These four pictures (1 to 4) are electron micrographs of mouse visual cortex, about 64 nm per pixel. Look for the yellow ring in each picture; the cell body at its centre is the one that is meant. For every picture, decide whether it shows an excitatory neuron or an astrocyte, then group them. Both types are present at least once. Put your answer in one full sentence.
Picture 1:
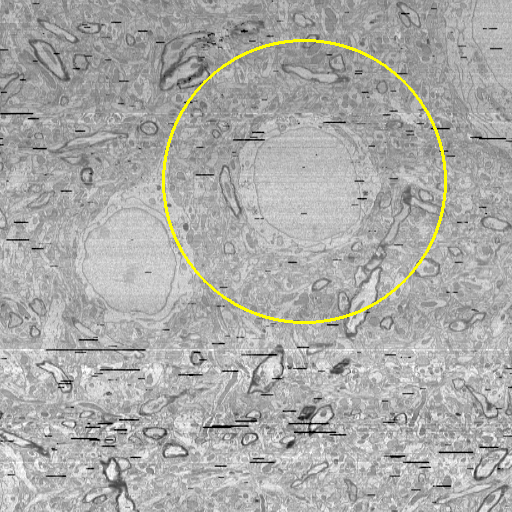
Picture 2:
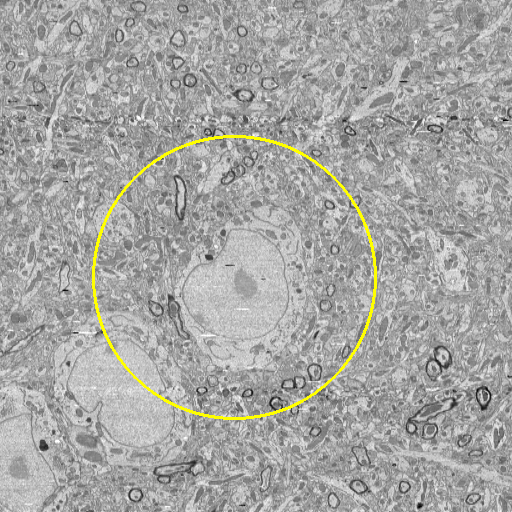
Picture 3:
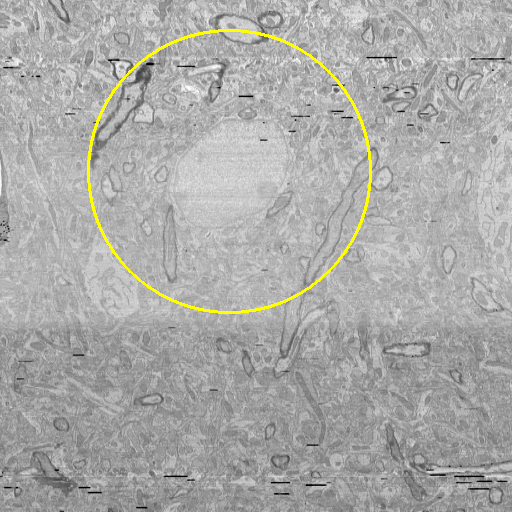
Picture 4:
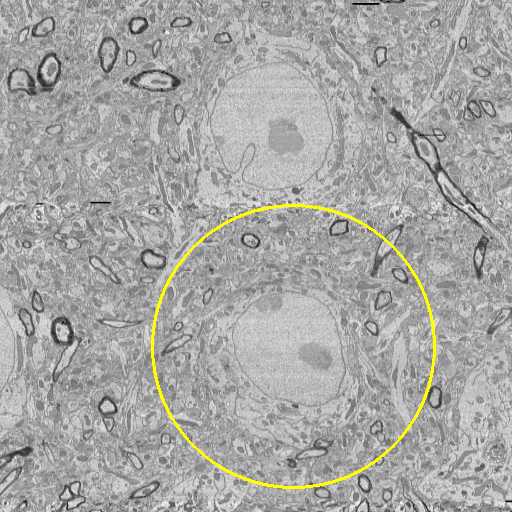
Pictures 1, 2 and 4 show excitatory neurons, and picture 3 shows an astrocyte.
